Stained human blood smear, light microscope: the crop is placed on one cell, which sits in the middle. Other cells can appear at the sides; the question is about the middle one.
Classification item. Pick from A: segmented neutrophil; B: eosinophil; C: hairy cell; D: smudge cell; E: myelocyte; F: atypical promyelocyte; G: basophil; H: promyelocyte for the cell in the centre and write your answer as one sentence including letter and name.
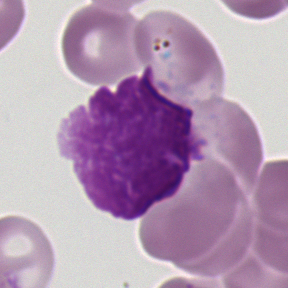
Option D is the correct option, with the middle cell being a smudge cell.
